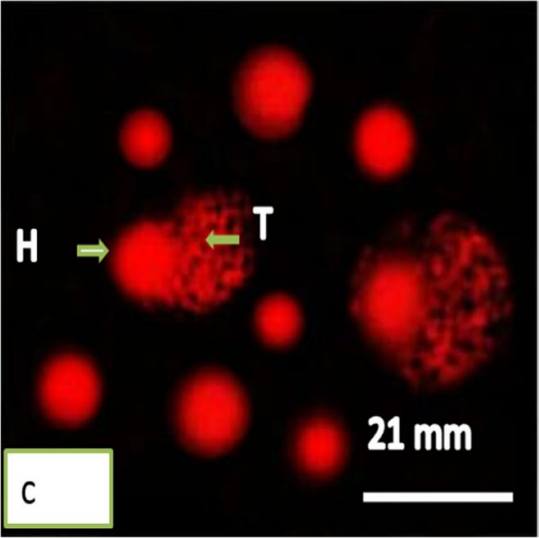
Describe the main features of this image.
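Most are compact, round and evenly bright with soft edges. Two are comet-shaped: a bright dense round head lies against a broader, fainter, granular tail of speckled red material. The tails extend to the right of the heads and are wider than the heads. The damaged nuclei are larger overall than the compact spots around them.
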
